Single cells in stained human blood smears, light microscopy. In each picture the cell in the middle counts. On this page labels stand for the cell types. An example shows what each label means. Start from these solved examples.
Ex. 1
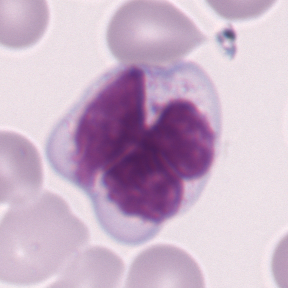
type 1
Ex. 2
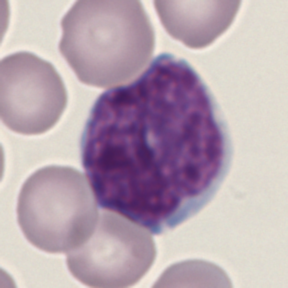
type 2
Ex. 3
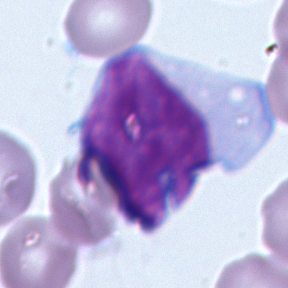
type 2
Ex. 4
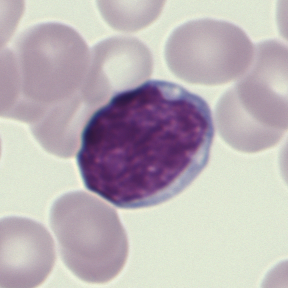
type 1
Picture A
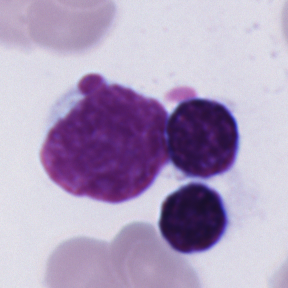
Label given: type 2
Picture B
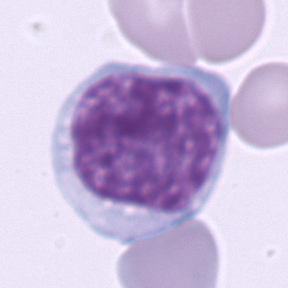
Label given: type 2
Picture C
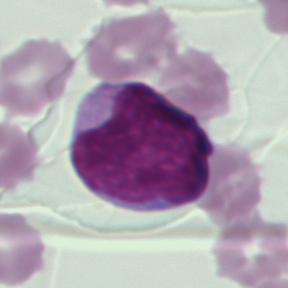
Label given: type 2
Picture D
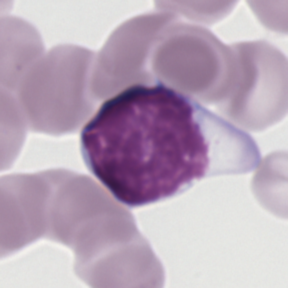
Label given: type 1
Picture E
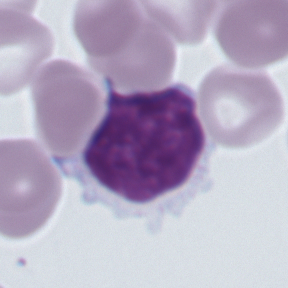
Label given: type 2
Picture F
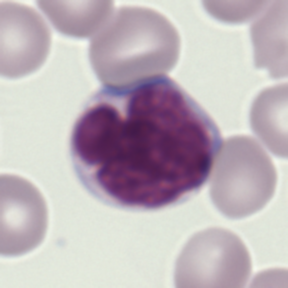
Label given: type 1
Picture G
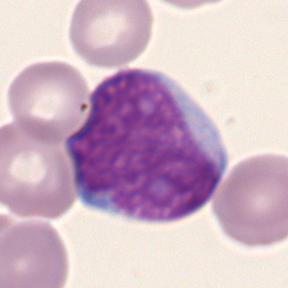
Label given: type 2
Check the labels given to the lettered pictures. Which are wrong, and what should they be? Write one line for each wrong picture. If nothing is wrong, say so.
E: type 1, not type 2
